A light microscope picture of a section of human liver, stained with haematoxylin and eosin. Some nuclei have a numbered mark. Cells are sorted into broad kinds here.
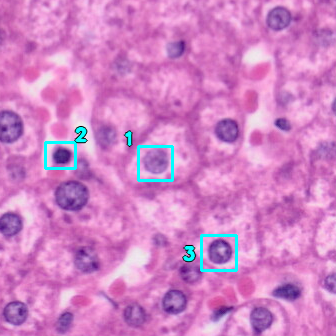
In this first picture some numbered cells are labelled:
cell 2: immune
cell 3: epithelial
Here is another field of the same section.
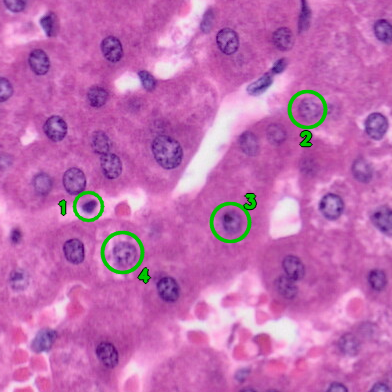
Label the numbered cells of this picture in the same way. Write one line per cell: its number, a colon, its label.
1: immune
2: epithelial
3: epithelial
4: epithelial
